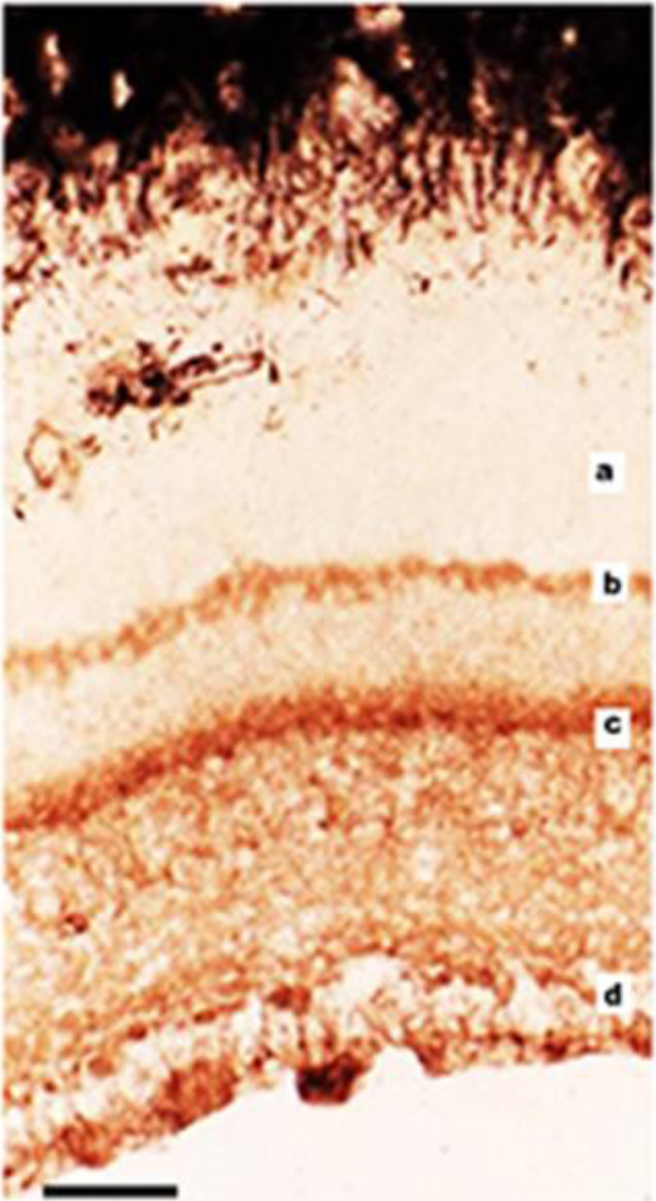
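A cross-section of retina shows layers in shades of brown on a pale background. At the top the pigment epithelium is almost black, with dark pigment extending downward. Below lies a wide, nearly unstained photoreceptor layer with a few dark fragments. A thin brown line runs at the upper border of the outer nuclear layer, which is itself pale. A strong brown band marks the outer plexiform layer. The inner nuclear layer beneath has a speckled brown look around rounded cells, the inner plexiform layer is finely brown, and the ganglion cell layer at the bottom holds darker brown cells.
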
